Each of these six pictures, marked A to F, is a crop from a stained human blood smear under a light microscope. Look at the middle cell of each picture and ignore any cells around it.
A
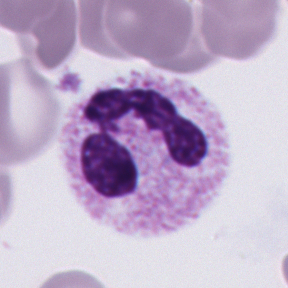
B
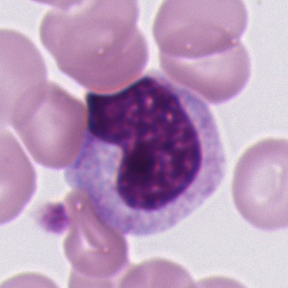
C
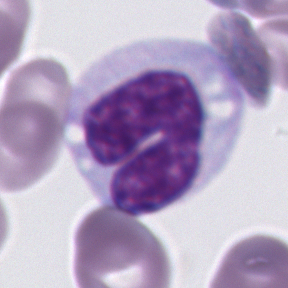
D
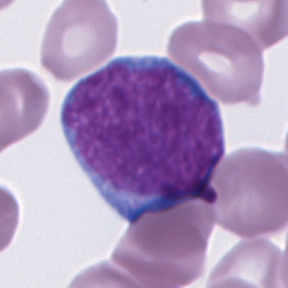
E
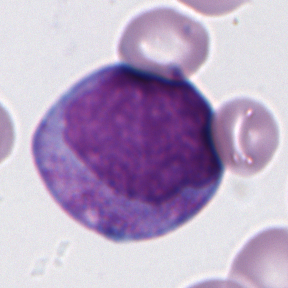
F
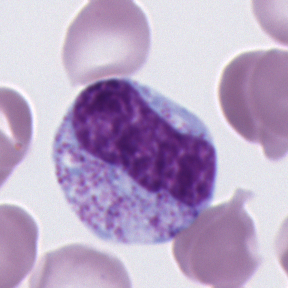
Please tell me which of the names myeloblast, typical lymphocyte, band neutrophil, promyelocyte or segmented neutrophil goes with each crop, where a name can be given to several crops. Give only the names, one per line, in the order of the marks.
segmented neutrophil
band neutrophil
band neutrophil
myeloblast
promyelocyte
band neutrophil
